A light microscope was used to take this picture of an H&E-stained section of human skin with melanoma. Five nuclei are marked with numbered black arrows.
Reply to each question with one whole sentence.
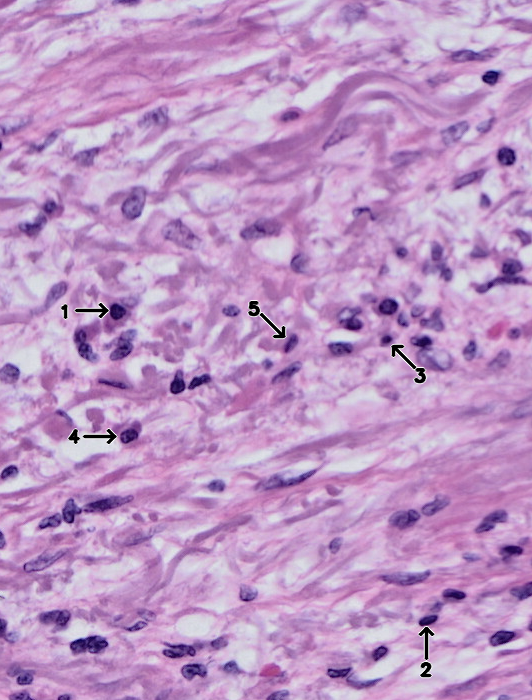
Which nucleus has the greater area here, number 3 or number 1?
It is nucleus 1, which covers about 2.5 times the area of nucleus 3.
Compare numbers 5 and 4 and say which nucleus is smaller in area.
It is nucleus 5; nucleus 4 has about 1.5 times its area.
